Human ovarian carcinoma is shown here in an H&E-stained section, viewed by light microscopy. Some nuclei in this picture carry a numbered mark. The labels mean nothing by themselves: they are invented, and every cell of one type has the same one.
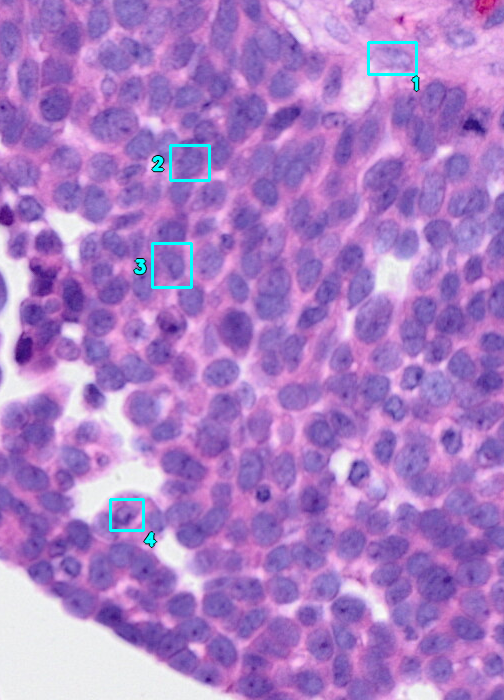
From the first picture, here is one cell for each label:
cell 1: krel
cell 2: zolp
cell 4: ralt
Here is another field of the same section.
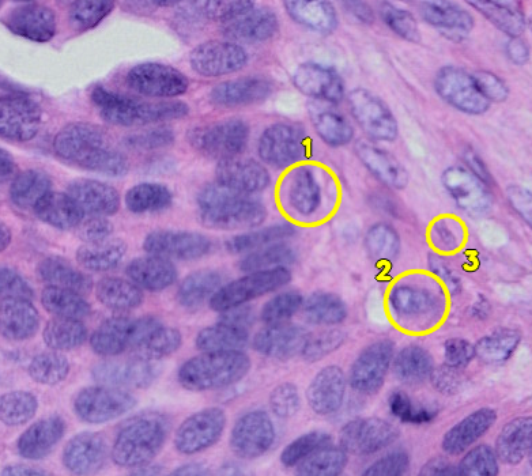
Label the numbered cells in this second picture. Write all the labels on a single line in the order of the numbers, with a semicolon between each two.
ralt; krel; krel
